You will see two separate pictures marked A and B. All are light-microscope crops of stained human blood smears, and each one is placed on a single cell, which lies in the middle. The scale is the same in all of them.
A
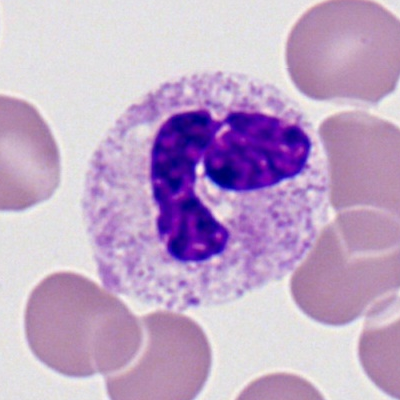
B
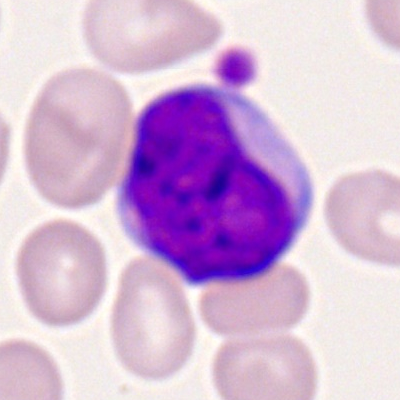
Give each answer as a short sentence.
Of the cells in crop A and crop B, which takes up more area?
Larger is the cell in crop A, at roughly 1.5 times the area of the other.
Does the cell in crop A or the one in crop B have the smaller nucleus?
Crop A shows the smaller nucleus, since that in crop B covers about 1.5 times as much area.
